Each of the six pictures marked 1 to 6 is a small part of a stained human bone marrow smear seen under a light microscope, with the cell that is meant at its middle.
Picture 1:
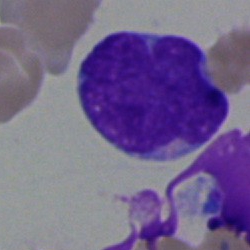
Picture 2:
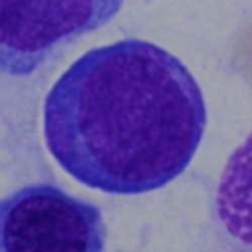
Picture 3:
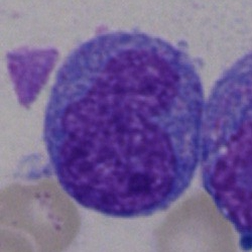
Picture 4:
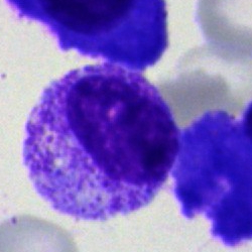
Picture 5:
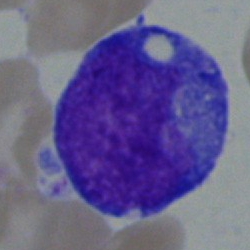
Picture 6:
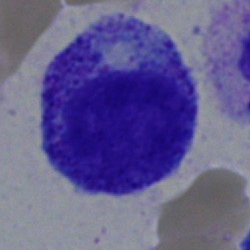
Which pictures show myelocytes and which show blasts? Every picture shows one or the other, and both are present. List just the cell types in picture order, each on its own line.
blast
blast
blast
myelocyte
blast
myelocyte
